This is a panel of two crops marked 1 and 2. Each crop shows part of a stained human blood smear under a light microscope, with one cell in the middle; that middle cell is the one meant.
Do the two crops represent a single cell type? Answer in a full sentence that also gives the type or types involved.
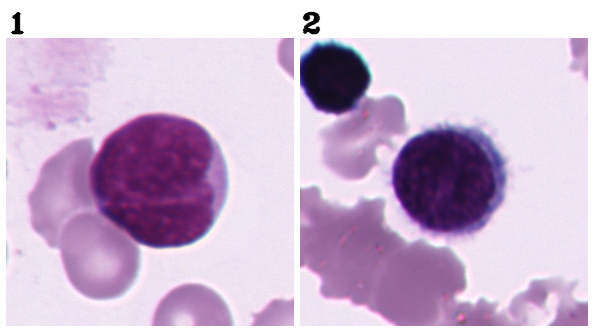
No, whereas crop 1 shows a blast, crop 2 shows a hairy cell.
